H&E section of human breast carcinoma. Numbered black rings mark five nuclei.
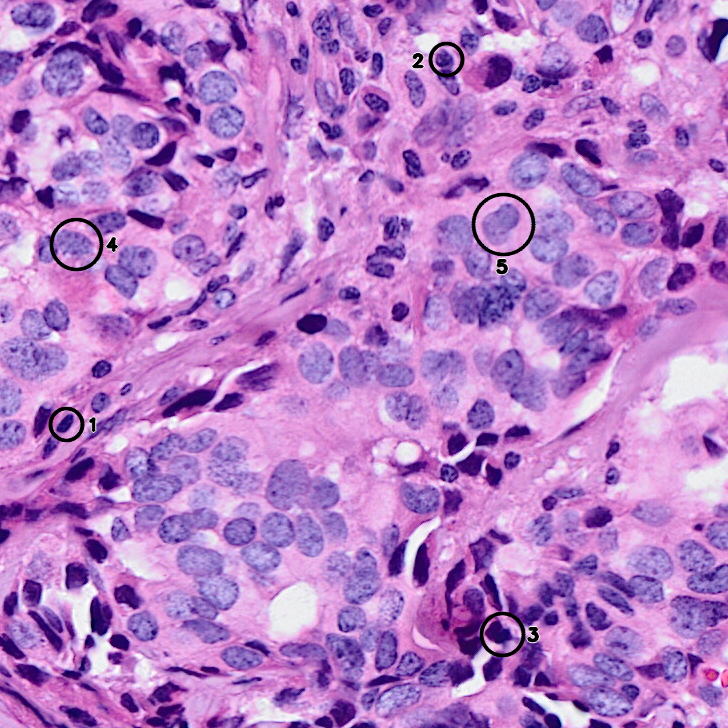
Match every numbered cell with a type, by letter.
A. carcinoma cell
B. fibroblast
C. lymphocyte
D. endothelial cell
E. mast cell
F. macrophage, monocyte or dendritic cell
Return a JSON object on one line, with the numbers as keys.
{"1": "C", "2": "C", "3": "A", "4": "A", "5": "A"}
